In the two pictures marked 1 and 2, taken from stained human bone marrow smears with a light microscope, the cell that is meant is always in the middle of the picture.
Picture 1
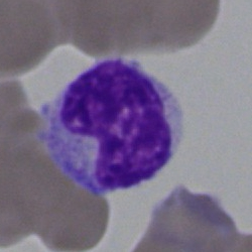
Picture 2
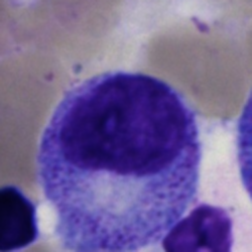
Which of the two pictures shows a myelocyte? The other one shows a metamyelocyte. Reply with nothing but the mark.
2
